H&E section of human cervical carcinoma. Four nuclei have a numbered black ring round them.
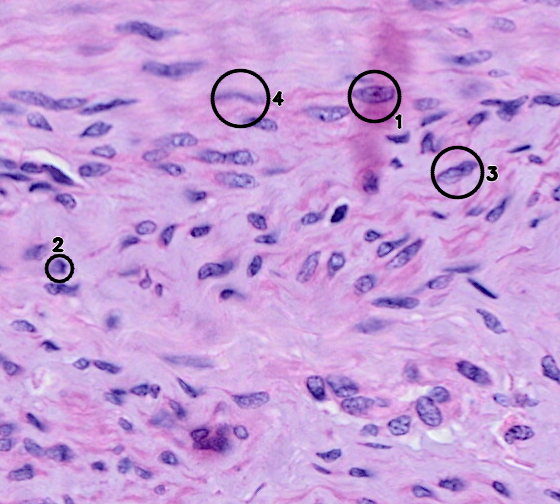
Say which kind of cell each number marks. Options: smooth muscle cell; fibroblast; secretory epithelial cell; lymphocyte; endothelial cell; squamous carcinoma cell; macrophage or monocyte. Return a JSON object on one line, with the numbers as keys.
{"1": "smooth muscle cell", "2": "fibroblast", "3": "smooth muscle cell", "4": "smooth muscle cell"}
